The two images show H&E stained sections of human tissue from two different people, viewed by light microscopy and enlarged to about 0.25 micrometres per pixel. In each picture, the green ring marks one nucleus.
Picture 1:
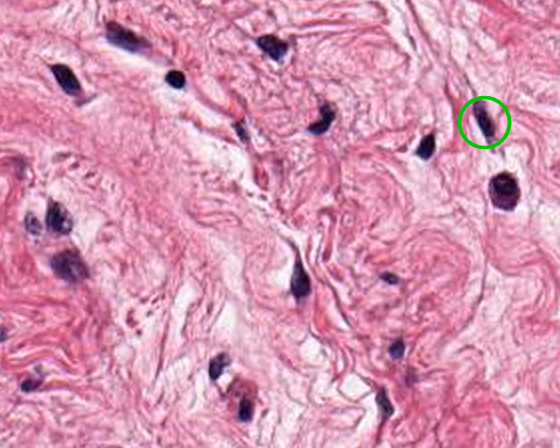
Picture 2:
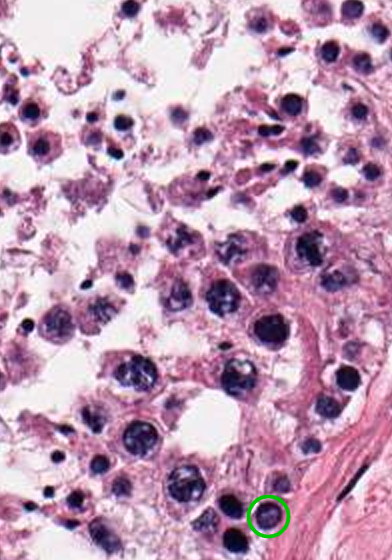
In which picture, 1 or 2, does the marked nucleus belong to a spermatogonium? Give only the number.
2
